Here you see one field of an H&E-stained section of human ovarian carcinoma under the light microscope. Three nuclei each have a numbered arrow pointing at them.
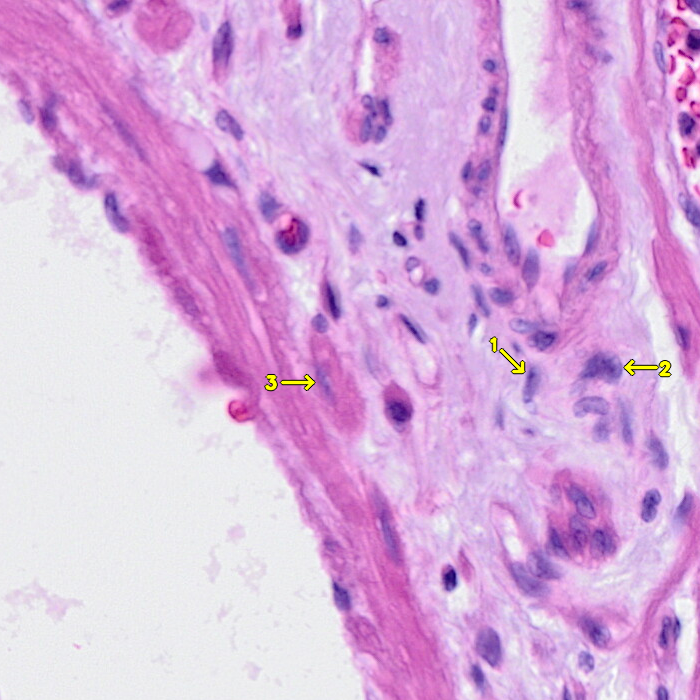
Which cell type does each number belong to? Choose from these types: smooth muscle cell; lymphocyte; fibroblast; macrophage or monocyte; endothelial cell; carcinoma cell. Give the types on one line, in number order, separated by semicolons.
fibroblast; fibroblast; smooth muscle cell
